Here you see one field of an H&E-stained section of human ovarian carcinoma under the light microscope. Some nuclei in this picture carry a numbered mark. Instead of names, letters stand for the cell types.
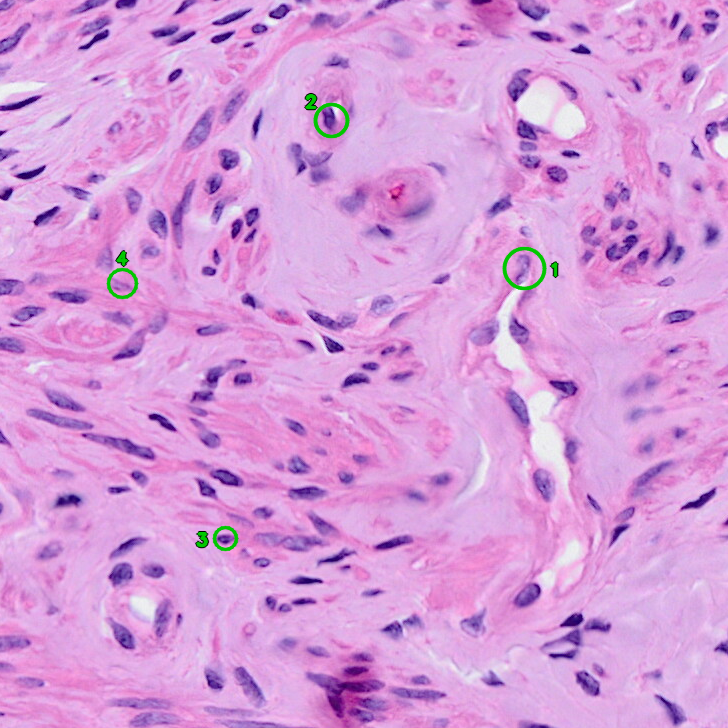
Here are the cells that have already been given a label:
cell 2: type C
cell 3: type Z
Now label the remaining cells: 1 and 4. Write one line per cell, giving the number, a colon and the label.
1: type C
4: type Z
